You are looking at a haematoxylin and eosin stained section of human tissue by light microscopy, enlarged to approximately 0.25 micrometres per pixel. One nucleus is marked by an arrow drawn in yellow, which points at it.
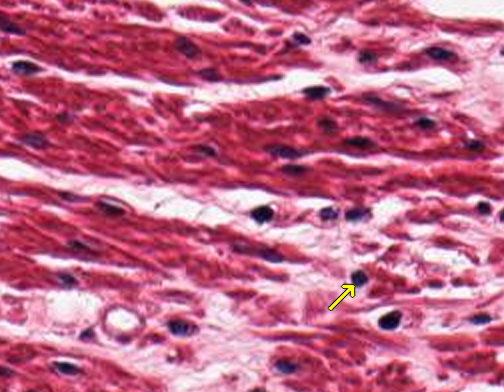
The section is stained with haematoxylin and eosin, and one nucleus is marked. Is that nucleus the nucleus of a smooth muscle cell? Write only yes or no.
no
